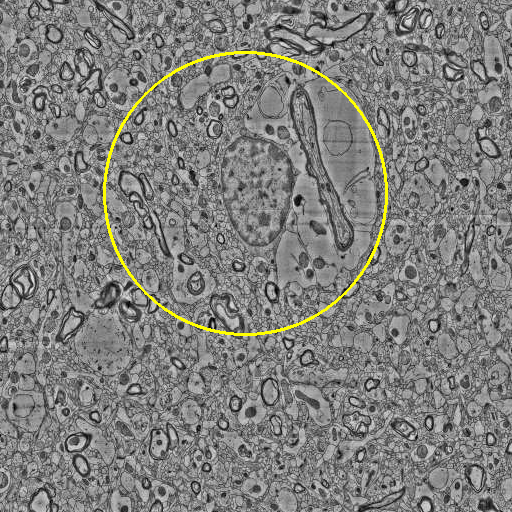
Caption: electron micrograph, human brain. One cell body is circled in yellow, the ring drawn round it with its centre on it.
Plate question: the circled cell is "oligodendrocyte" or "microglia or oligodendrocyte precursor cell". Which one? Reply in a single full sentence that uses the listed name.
The yellow ring on the plate is centred on an oligodendrocyte, going by the listed names.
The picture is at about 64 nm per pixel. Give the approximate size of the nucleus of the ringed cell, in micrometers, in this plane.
The nucleus measures about 7 by 5 micrometres, so it is clearly longer than it is wide in this plane.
